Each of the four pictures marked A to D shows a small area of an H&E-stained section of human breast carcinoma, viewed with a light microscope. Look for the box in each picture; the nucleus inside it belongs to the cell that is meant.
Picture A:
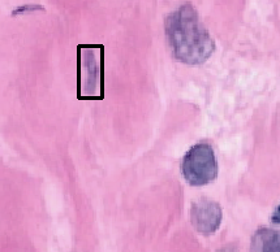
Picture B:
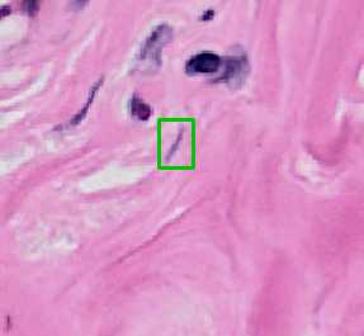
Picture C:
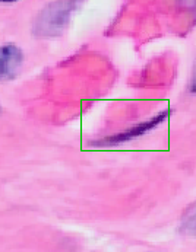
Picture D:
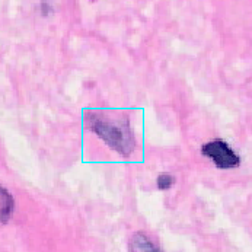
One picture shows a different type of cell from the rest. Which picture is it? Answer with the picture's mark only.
C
